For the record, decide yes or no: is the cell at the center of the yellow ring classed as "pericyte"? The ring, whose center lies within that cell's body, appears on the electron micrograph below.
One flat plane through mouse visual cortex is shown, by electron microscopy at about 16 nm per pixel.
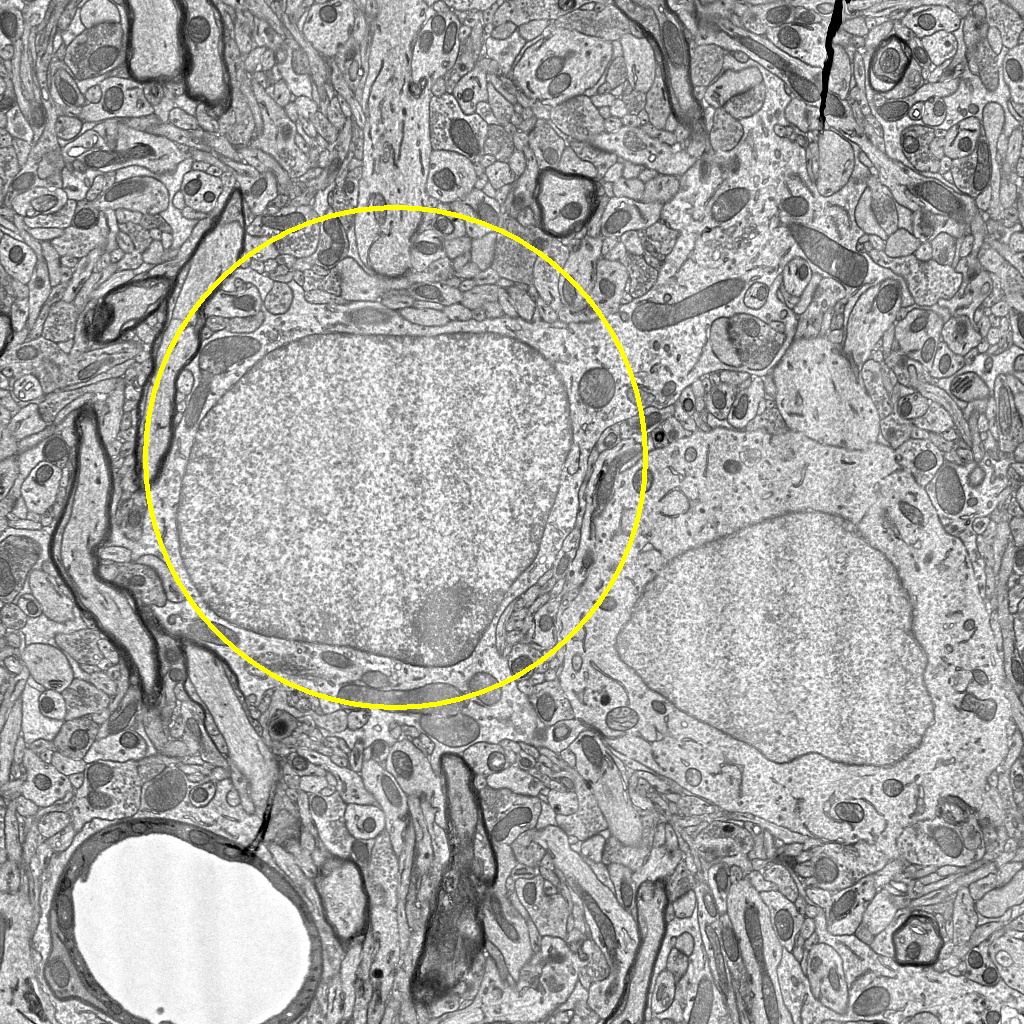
no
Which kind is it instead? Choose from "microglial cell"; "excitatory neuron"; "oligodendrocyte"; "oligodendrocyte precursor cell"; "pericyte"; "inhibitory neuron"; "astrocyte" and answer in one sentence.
The correct answer is that the cell is an astrocyte.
